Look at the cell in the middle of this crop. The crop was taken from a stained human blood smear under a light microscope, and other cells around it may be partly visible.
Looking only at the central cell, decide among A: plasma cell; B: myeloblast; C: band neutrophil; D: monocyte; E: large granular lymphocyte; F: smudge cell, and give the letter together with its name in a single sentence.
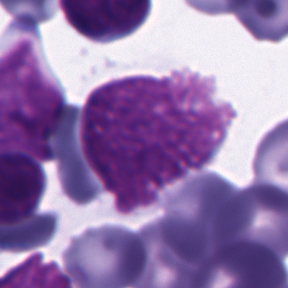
That cell in the center is a smudge cell, hence option F.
